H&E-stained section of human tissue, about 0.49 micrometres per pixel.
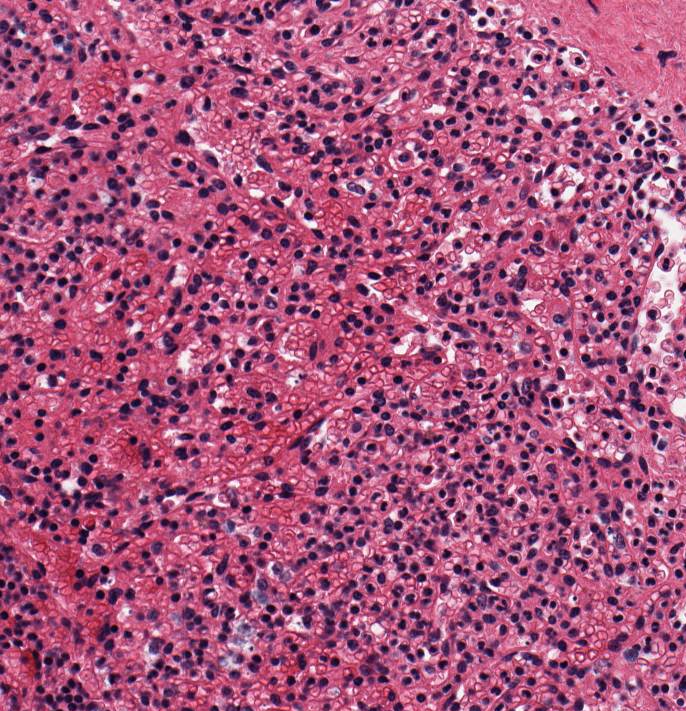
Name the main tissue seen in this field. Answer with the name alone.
red pulp of the spleen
